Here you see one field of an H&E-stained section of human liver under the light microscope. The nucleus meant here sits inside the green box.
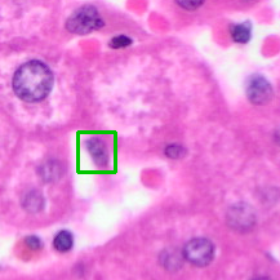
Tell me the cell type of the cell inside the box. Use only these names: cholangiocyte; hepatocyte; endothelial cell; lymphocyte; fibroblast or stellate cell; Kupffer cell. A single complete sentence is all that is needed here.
Placed in its cell category, the cell inside the box is a Kupffer cell.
